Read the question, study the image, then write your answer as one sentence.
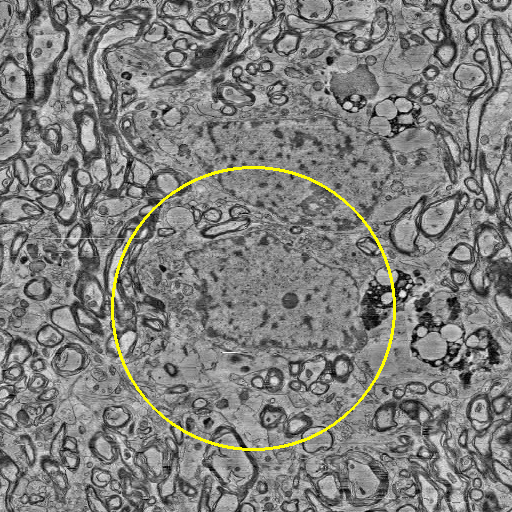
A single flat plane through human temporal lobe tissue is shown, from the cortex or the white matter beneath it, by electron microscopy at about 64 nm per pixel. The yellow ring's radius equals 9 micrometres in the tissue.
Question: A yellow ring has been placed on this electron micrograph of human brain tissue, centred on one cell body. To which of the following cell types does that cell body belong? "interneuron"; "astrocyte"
That cell body belongs to an astrocyte.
